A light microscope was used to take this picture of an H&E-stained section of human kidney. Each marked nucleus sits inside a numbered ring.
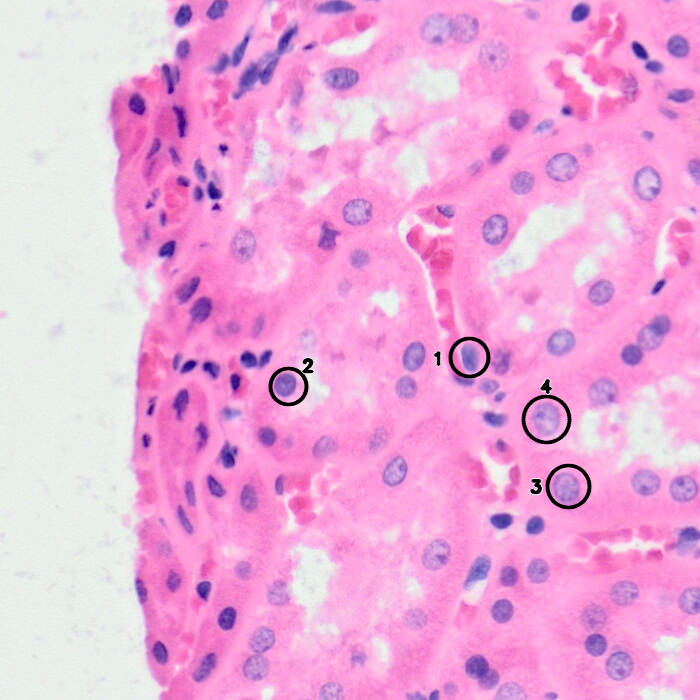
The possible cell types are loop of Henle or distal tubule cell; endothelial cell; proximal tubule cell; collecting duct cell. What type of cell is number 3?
proximal tubule cell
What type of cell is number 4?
proximal tubule cell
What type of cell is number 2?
proximal tubule cell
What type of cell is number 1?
endothelial cell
